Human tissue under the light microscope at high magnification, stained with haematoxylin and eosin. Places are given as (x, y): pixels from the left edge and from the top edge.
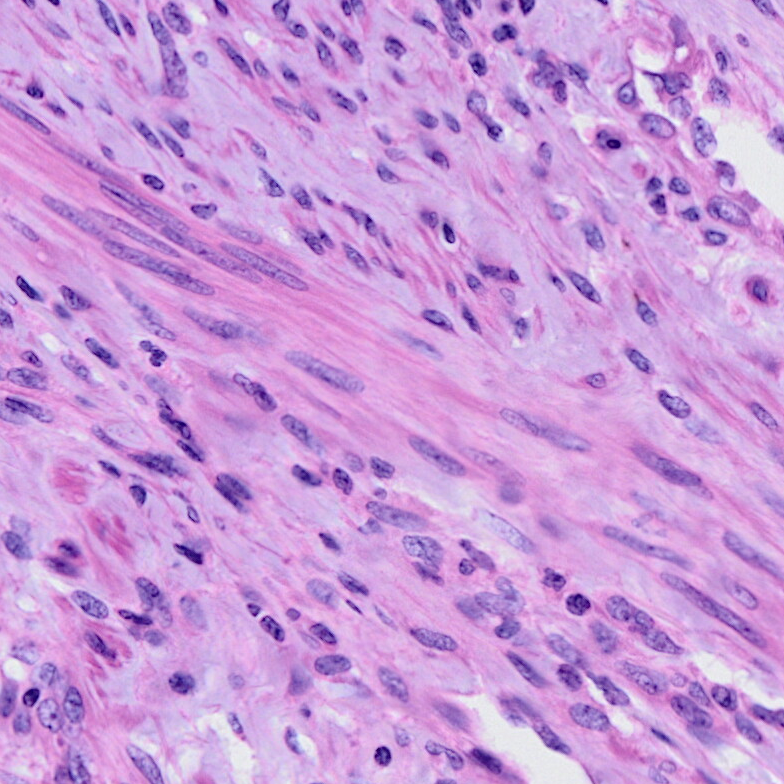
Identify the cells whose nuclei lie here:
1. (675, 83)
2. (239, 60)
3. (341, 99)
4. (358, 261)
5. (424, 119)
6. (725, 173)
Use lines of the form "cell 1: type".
cell 1: endothelial cell
cell 2: smooth muscle cell
cell 3: smooth muscle cell
cell 4: smooth muscle cell
cell 5: smooth muscle cell
cell 6: endothelial cell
